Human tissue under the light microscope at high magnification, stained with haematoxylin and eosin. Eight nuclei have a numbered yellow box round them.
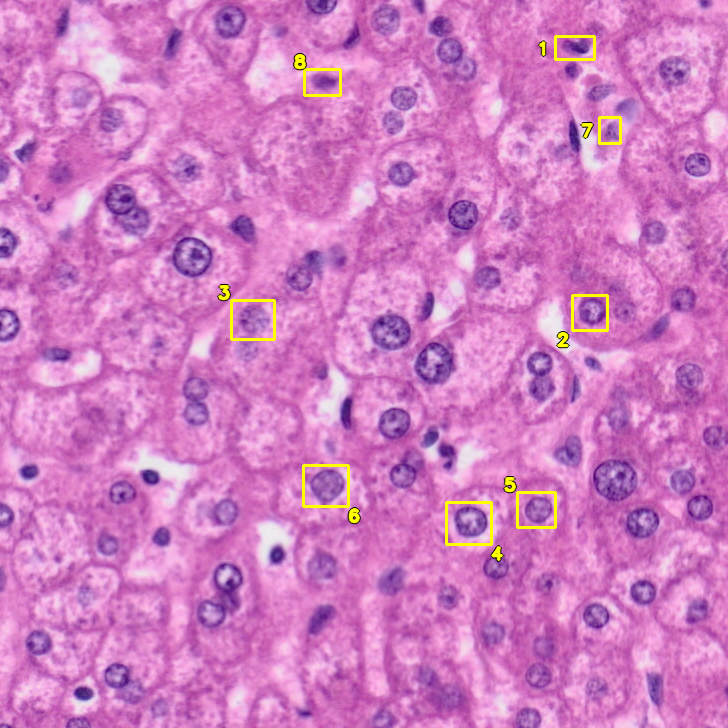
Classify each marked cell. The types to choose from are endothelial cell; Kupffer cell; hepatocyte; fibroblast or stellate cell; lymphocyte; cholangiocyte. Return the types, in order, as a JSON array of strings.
["endothelial cell", "hepatocyte", "hepatocyte", "hepatocyte", "hepatocyte", "hepatocyte", "Kupffer cell", "endothelial cell"]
